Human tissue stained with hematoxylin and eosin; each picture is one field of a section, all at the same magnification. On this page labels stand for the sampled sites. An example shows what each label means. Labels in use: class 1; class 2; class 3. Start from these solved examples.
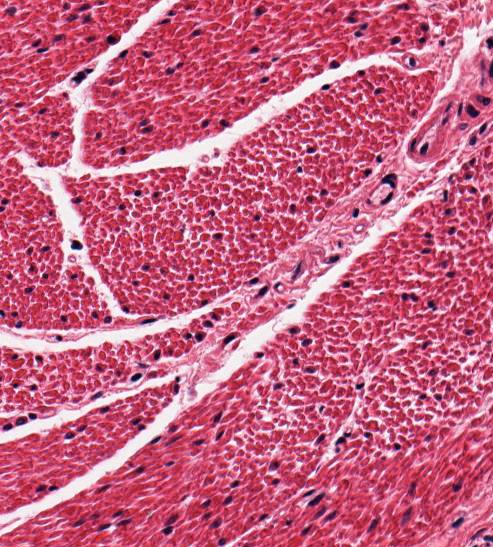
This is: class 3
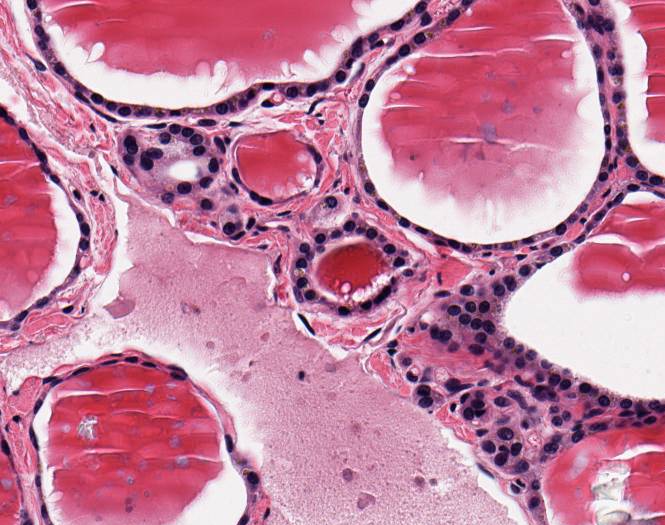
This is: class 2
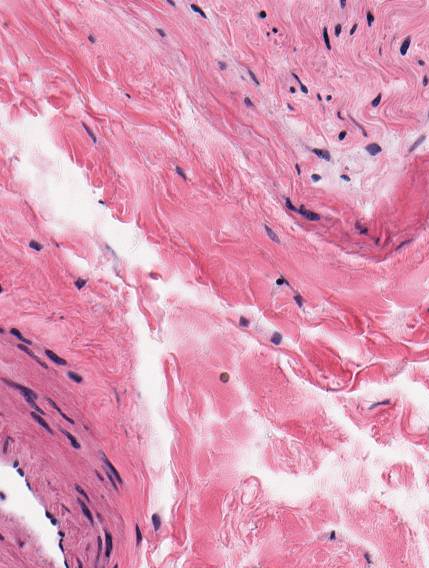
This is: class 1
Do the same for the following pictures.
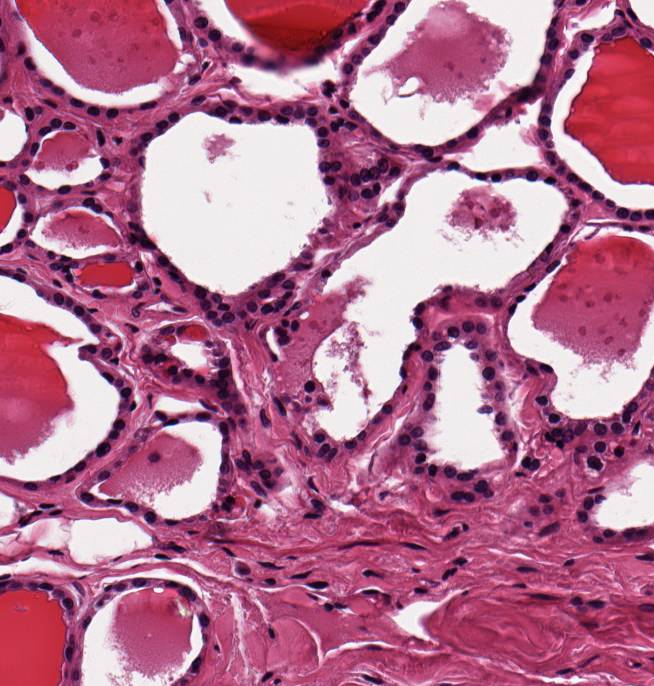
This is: class 2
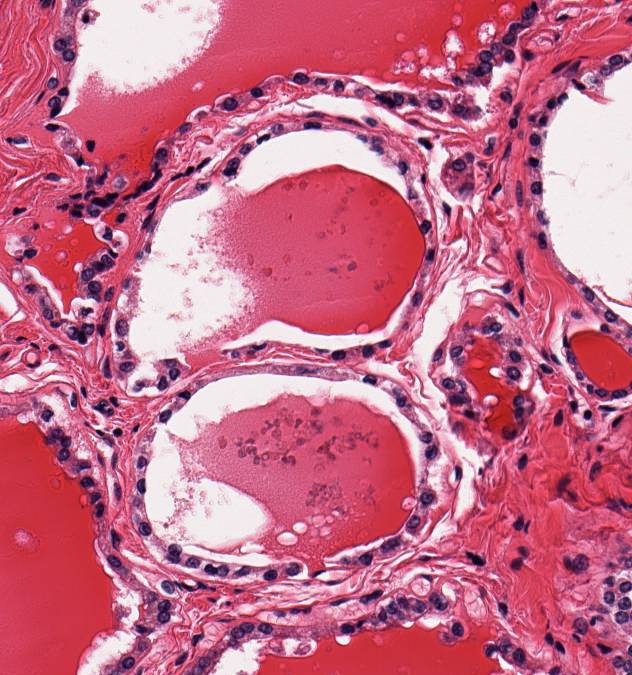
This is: class 2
